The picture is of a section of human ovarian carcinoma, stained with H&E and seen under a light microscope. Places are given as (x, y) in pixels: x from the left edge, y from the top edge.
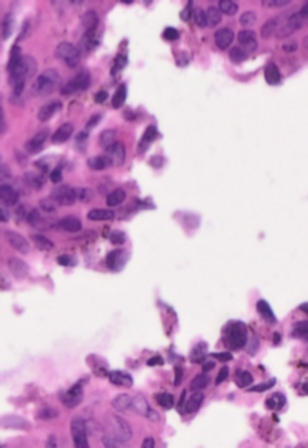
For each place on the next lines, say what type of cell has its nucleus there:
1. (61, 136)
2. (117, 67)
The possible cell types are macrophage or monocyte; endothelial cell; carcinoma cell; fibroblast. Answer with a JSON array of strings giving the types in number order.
["carcinoma cell", "macrophage or monocyte"]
